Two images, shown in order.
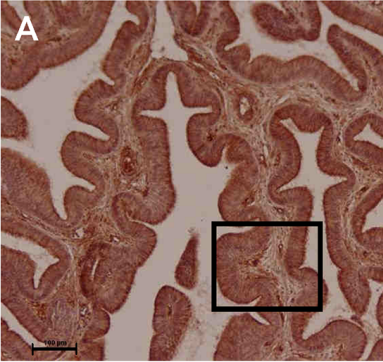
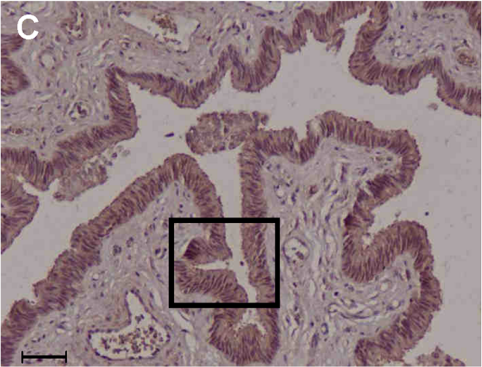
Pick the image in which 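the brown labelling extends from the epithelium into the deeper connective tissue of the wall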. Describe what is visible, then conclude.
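The first image. Second image: the connective tissue under the epithelium is pale and bluish-purple, with brownish tint mostly in the epithelial lining. First image: both the epithelium and the connective tissue cores of the folds are stained brown.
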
